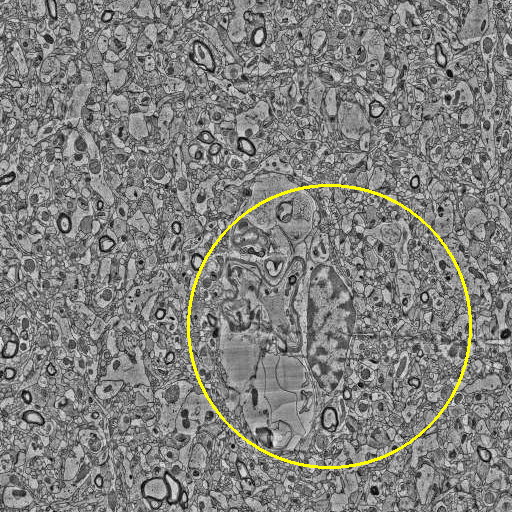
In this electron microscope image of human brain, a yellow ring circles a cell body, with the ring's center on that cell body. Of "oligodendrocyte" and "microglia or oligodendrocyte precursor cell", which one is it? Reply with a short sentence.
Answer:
It is a microglial cell or oligodendrocyte precursor cell at the center of the ring.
